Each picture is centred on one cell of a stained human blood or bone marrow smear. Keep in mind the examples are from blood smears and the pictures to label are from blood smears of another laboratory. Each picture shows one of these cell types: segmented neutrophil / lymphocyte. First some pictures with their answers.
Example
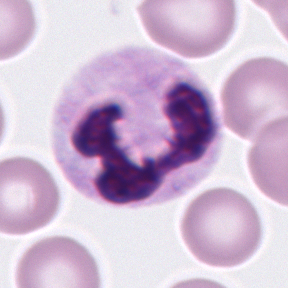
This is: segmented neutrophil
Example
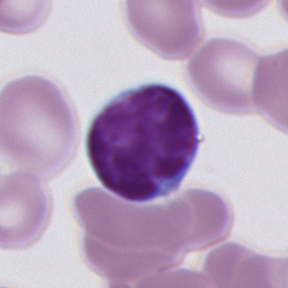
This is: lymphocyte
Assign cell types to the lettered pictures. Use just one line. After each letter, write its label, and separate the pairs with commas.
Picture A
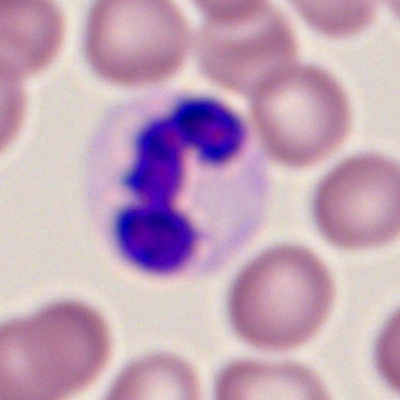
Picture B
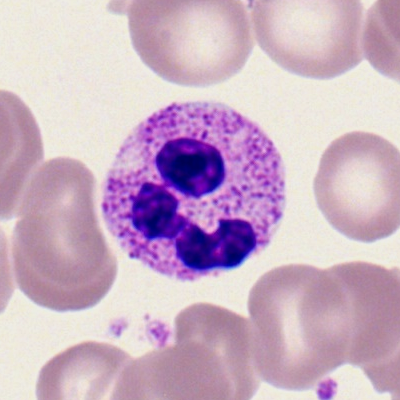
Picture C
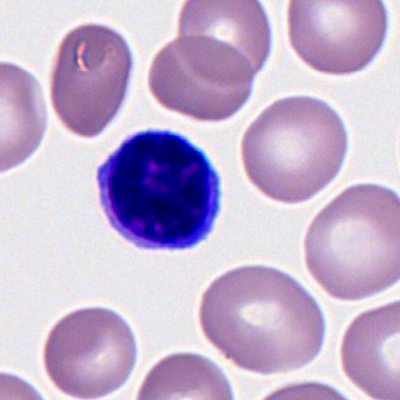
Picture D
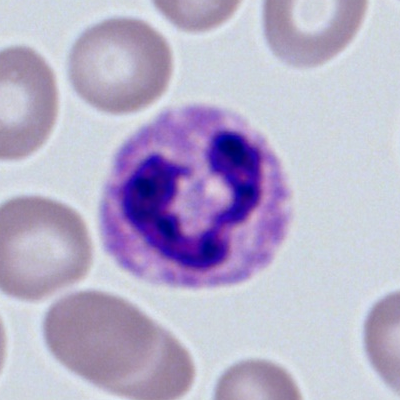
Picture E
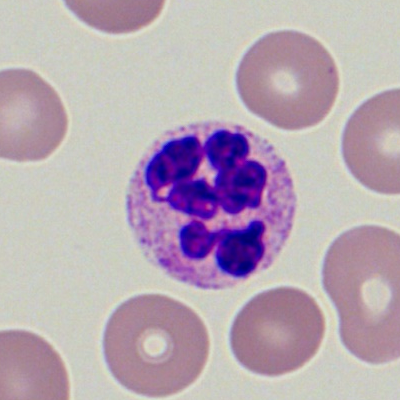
A segmented neutrophil, B segmented neutrophil, C lymphocyte, D segmented neutrophil, E segmented neutrophil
